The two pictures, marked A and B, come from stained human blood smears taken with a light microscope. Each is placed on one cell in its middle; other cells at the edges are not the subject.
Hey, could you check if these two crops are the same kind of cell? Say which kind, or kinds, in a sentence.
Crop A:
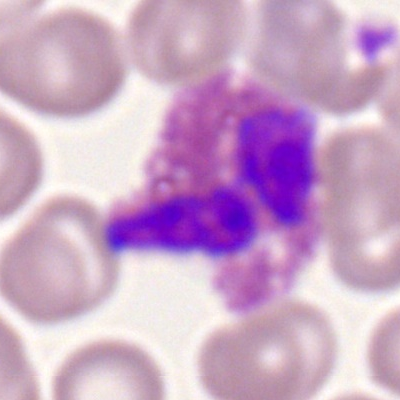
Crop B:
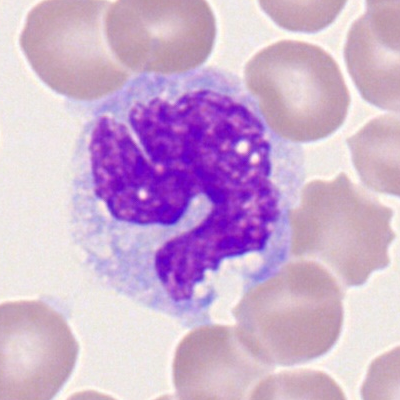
No, crop A and crop B show an eosinophil and a monocyte respectively.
